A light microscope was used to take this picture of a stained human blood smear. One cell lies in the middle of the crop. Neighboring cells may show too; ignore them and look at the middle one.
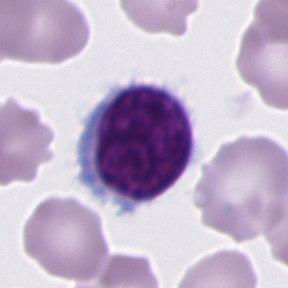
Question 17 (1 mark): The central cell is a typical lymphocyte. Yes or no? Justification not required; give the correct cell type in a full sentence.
No, the central cell is a hairy cell; it should not be labelled a typical lymphocyte.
